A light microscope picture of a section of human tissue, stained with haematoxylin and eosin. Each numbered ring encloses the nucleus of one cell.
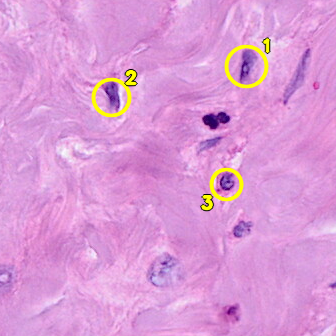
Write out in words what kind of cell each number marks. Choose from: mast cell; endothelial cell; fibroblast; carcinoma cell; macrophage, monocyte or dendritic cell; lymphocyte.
Cells 1 and 2 are fibroblasts. Cell 3 is a mast cell.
